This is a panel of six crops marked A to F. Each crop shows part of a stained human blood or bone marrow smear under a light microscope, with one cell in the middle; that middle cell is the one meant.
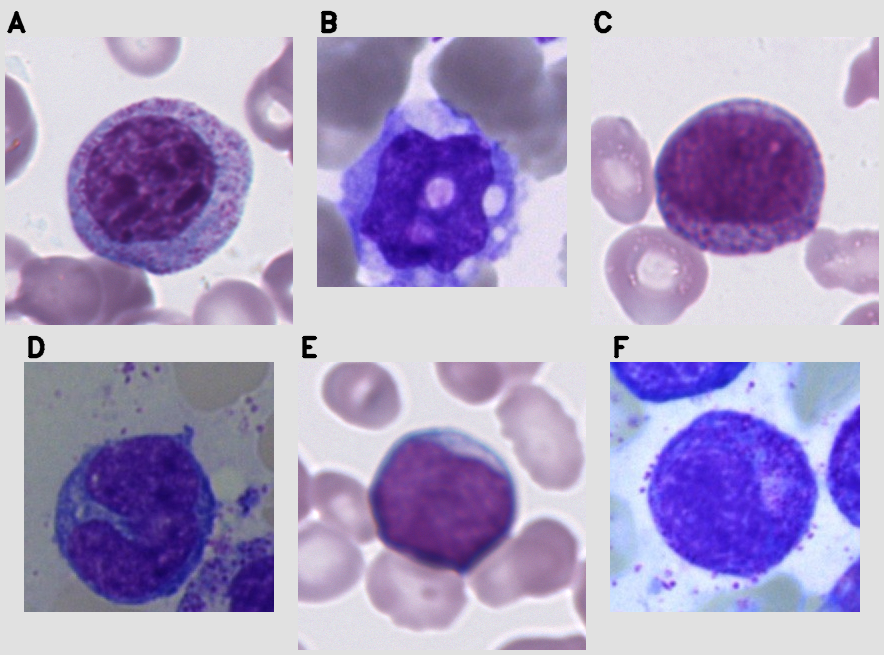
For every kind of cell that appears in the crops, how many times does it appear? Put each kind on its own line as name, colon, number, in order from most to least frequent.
promyelocyte: 3
monocyte: 2
blast: 1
